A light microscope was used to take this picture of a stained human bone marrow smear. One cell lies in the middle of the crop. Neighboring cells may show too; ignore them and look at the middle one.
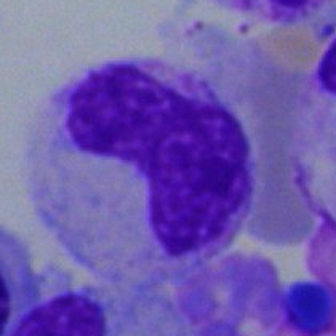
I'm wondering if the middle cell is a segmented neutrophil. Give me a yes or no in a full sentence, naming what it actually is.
No, the cell at the centre is a band neutrophil, which rules out a segmented neutrophil.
